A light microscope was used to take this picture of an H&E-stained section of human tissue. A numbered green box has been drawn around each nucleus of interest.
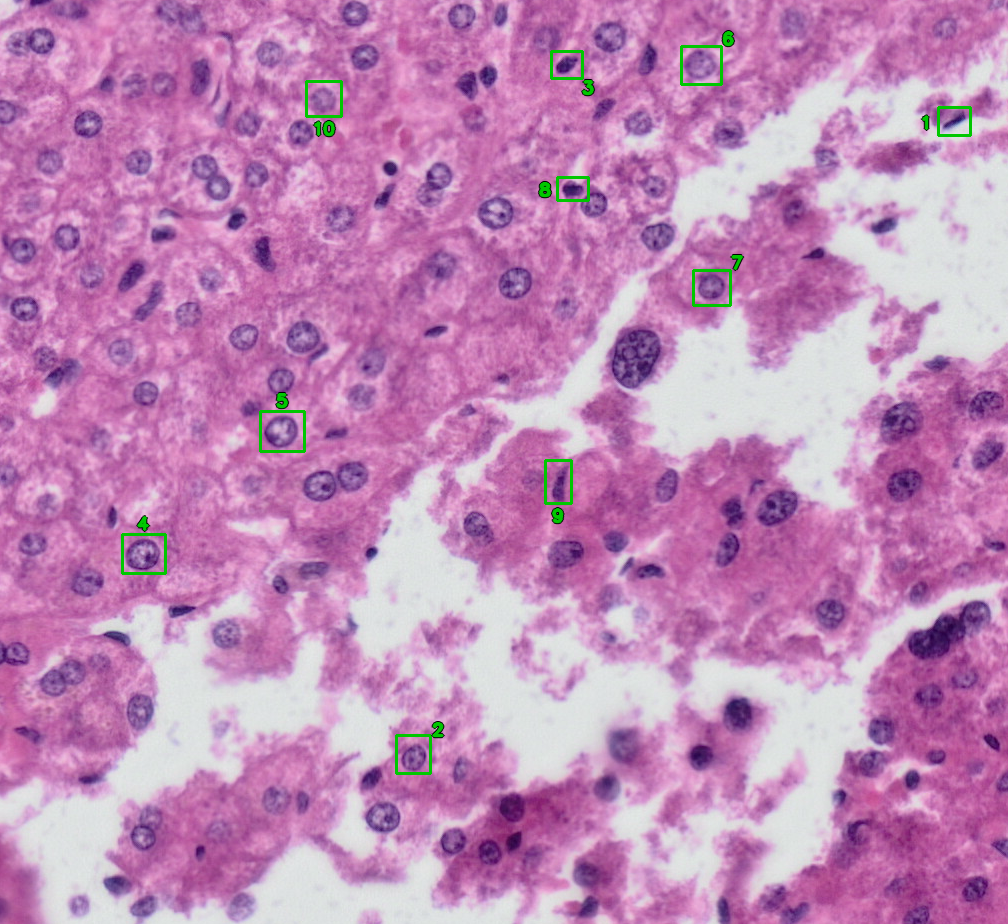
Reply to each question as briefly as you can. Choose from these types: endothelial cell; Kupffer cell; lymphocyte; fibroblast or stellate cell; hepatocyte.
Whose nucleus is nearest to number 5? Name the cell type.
fibroblast or stellate cell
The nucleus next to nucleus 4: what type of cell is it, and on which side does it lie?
an endothelial cell above and to the left of nucleus 4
